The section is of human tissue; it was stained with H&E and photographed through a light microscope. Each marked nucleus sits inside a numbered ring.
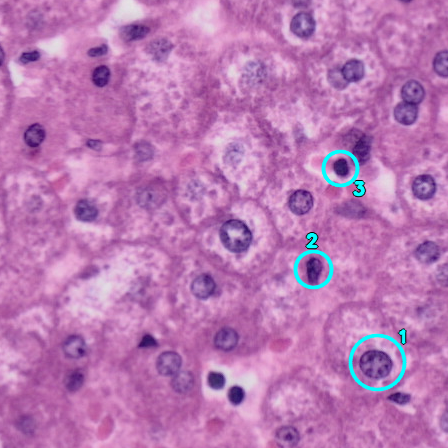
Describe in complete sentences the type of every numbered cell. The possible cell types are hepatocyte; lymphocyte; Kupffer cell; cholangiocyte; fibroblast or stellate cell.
Cell 1 is a hepatocyte, cell 2 is a fibroblast or stellate cell and cell 3 is a lymphocyte.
